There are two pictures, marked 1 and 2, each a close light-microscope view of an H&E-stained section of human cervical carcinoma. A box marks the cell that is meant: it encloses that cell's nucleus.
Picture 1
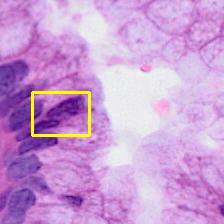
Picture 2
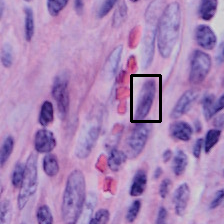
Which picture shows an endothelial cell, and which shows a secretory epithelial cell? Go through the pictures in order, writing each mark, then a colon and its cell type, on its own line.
1: secretory epithelial cell
2: endothelial cell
